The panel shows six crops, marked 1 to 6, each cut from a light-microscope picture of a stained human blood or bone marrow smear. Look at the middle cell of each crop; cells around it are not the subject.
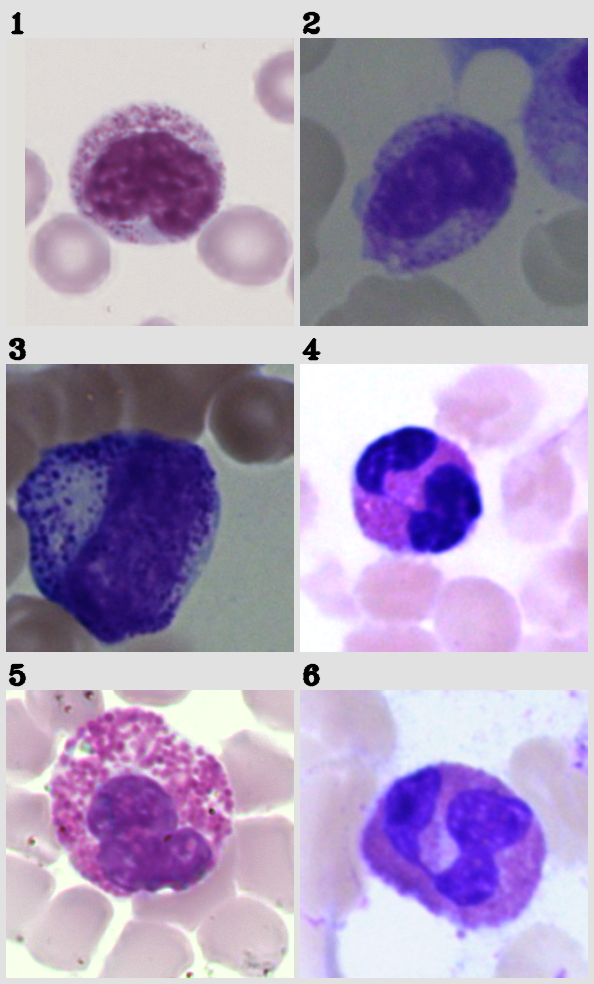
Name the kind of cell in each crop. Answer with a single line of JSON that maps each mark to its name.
{"1": "metamyelocyte", "2": "metamyelocyte", "3": "metamyelocyte", "4": "eosinophil", "5": "eosinophil", "6": "eosinophil"}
